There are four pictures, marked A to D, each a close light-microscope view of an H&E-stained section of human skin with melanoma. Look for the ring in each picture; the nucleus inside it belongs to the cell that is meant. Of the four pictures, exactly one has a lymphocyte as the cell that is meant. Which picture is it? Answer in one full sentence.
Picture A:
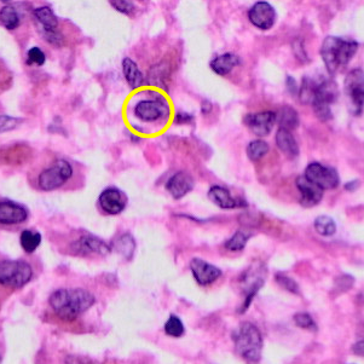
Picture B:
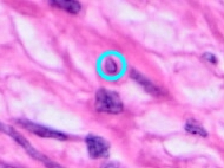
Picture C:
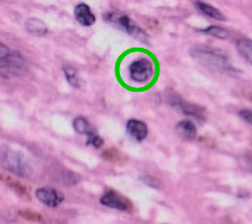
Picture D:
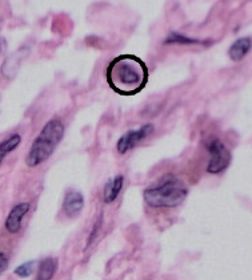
The lymphocyte is the one in picture C.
